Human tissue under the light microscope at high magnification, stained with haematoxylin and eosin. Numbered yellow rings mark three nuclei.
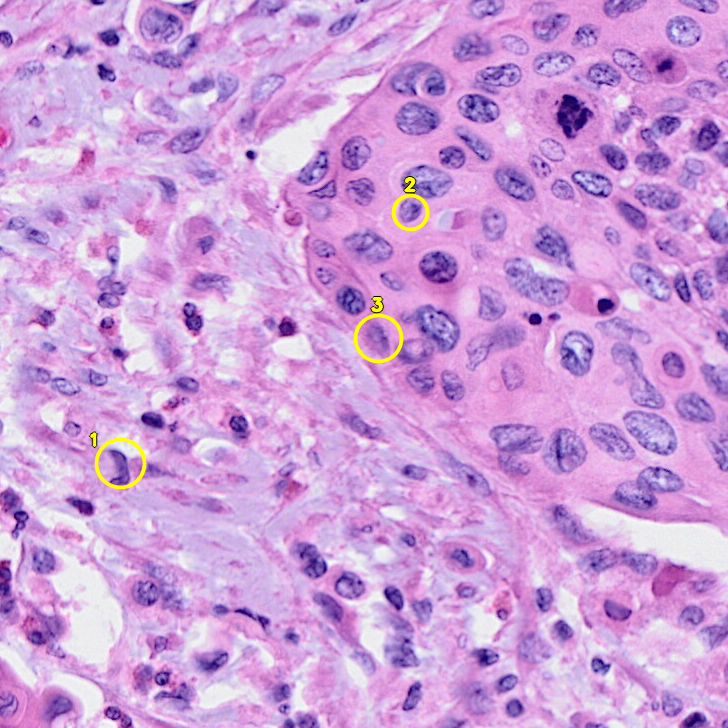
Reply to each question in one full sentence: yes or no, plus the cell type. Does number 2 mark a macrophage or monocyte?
No, that is wrong: cell 2 is a squamous carcinoma cell, and not a macrophage or monocyte.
